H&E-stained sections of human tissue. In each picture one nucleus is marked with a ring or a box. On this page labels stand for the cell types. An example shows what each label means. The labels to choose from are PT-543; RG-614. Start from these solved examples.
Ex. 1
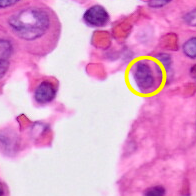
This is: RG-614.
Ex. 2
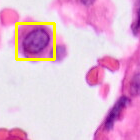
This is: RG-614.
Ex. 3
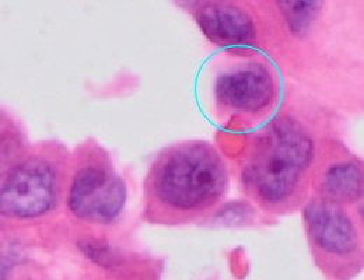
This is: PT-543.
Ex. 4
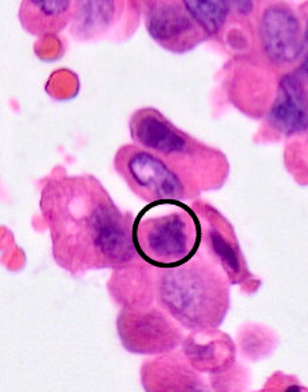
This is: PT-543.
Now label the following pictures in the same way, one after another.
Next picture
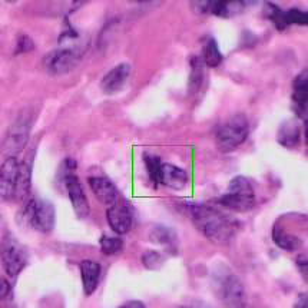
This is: RG-614.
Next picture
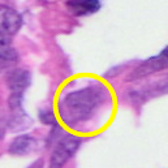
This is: PT-543.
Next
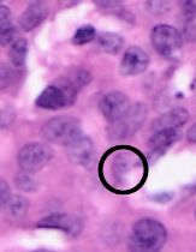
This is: PT-543.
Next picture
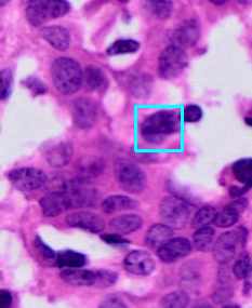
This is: PT-543.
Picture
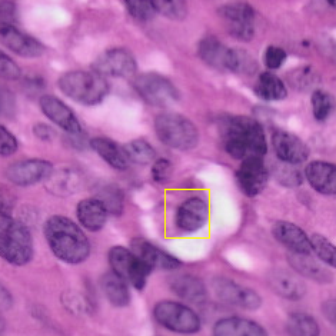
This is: RG-614.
